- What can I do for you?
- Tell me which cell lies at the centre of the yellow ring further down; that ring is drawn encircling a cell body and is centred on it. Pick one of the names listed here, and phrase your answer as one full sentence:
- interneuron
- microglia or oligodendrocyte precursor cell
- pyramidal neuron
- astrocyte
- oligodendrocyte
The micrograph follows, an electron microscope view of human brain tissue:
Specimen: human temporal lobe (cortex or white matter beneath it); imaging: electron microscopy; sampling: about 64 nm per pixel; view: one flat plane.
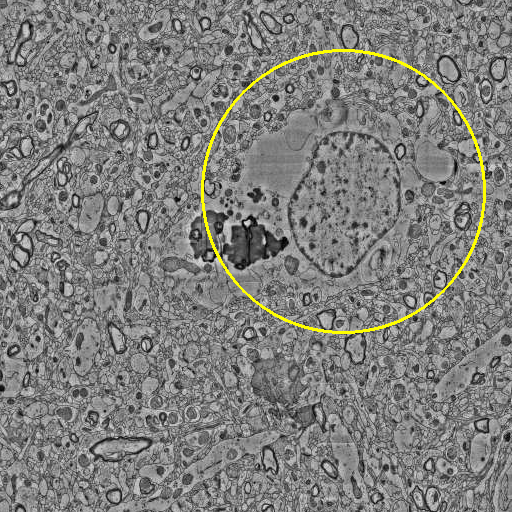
The cell whose body lies at the centre of the yellow ring is an astrocyte.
